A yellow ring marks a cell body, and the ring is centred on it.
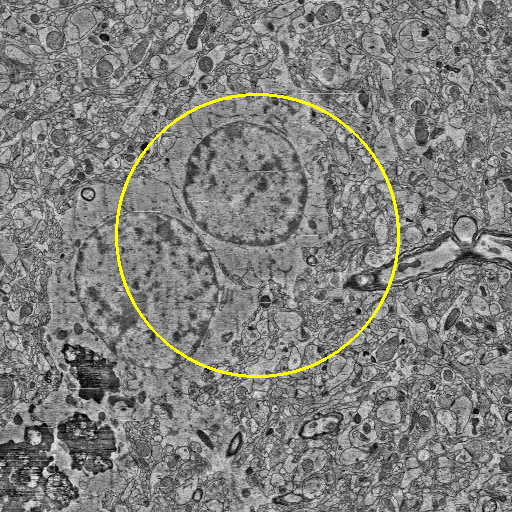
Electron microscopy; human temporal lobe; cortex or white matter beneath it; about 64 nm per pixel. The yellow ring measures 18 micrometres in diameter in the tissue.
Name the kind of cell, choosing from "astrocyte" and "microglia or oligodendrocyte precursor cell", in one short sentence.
The marked cell body belongs to an astrocyte.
